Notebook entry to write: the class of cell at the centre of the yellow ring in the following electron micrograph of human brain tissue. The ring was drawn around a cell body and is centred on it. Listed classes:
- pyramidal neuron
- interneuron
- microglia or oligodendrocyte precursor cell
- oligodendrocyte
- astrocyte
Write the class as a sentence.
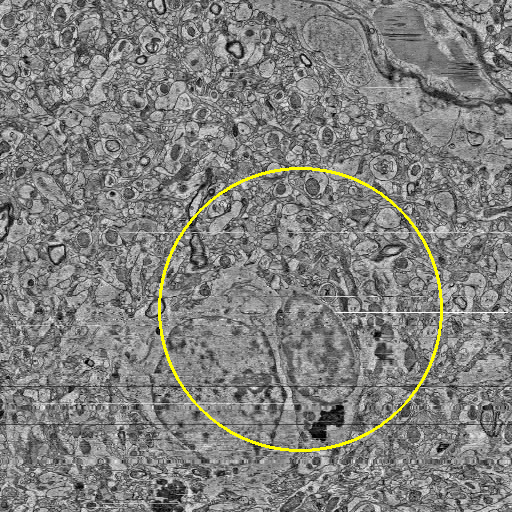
The yellow ring sits on an oligodendrocyte.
